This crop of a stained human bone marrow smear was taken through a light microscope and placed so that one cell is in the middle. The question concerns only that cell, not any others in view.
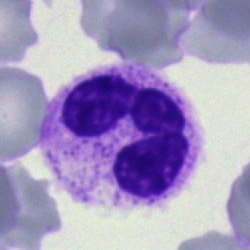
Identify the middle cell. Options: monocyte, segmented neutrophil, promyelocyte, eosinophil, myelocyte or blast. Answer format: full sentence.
The cell centred in this crop is categorized as a segmented neutrophil.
